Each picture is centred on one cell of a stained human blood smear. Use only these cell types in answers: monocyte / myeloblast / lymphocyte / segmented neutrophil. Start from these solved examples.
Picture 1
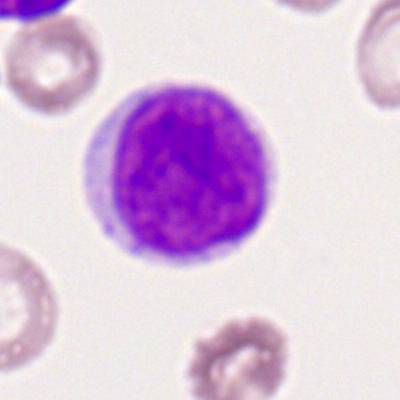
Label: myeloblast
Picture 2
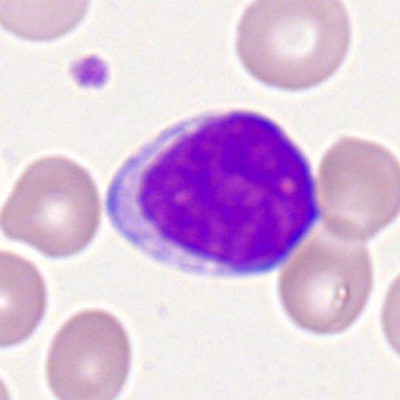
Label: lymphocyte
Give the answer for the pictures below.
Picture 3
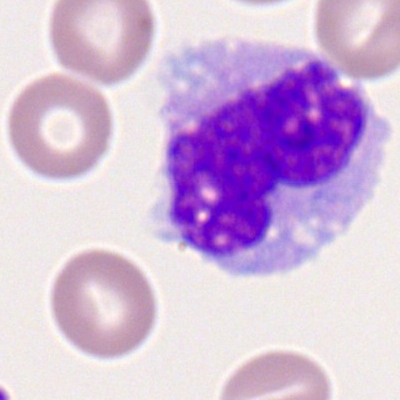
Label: monocyte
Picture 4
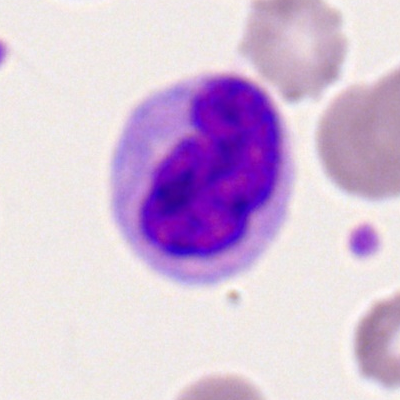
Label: monocyte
